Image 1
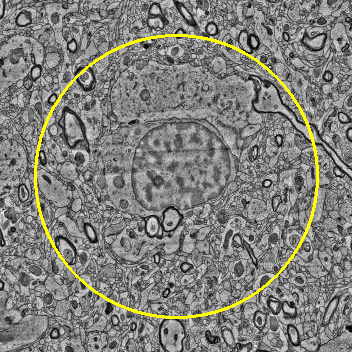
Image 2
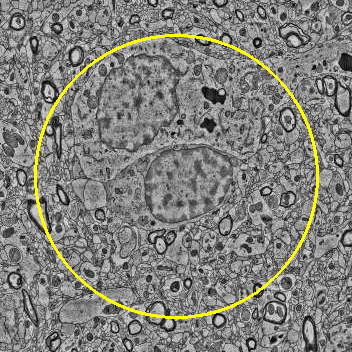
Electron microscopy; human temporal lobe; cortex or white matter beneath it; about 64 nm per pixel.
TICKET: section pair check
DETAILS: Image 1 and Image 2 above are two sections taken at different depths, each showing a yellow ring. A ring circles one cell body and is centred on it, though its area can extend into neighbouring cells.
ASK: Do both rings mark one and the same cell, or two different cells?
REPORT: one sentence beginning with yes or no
Yes, one single cell is under each of the two rings.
